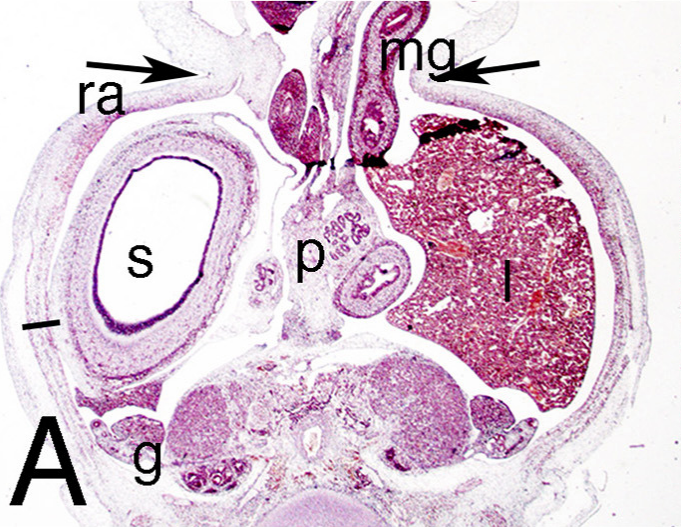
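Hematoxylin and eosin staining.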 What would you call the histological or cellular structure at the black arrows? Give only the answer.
Neck of the umbilical hernia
